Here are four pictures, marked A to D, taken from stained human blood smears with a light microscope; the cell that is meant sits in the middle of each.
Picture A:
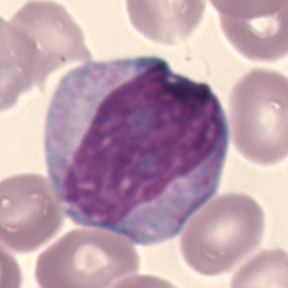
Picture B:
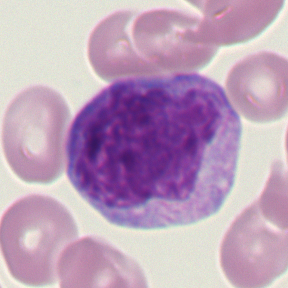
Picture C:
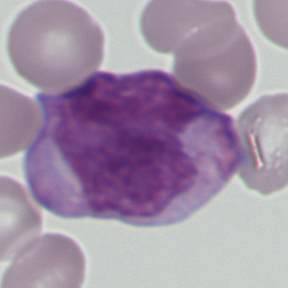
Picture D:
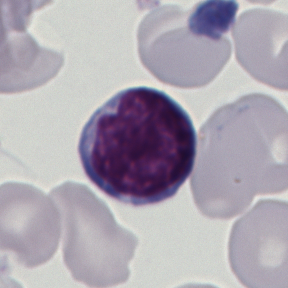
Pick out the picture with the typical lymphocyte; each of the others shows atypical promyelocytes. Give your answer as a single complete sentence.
The cell in picture D is the typical lymphocyte.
